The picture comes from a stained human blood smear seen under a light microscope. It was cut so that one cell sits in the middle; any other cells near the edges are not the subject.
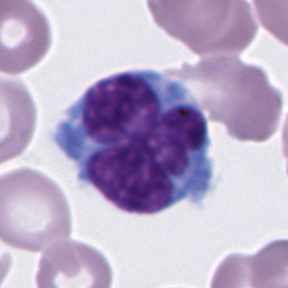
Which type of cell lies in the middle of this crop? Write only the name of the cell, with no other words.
monocyte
